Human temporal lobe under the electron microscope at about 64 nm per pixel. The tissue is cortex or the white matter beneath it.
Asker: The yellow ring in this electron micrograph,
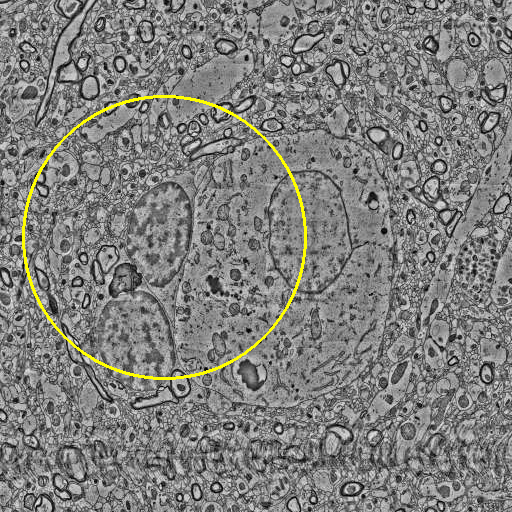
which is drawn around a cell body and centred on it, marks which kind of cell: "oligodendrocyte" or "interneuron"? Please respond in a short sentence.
The marked cell is an oligodendrocyte.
